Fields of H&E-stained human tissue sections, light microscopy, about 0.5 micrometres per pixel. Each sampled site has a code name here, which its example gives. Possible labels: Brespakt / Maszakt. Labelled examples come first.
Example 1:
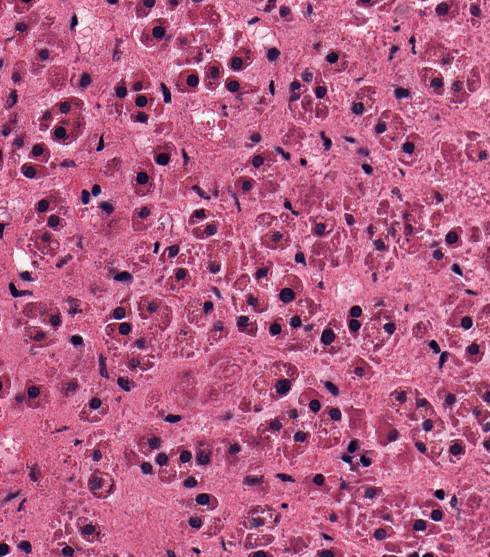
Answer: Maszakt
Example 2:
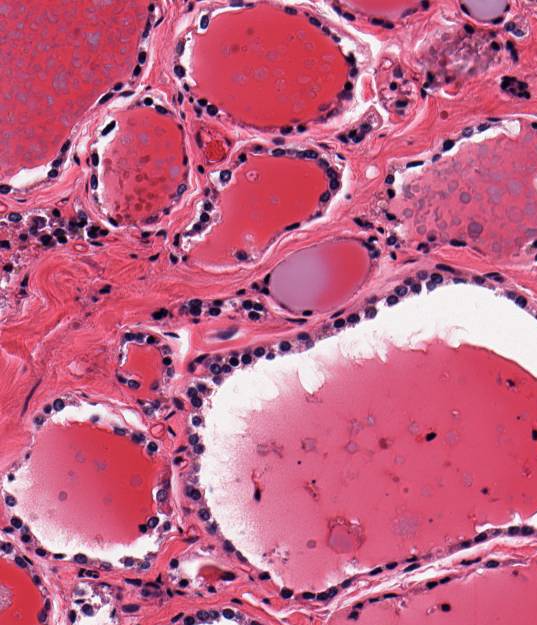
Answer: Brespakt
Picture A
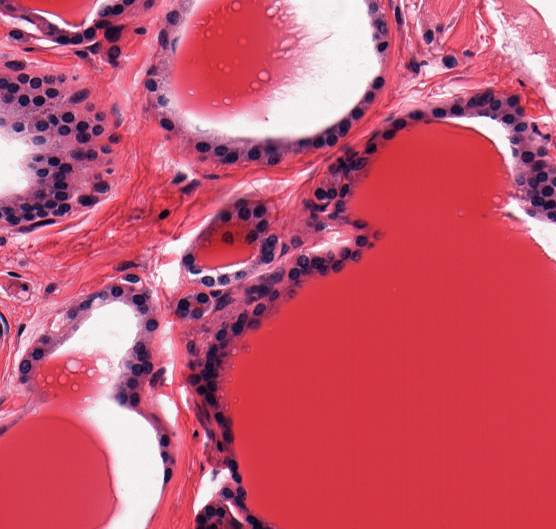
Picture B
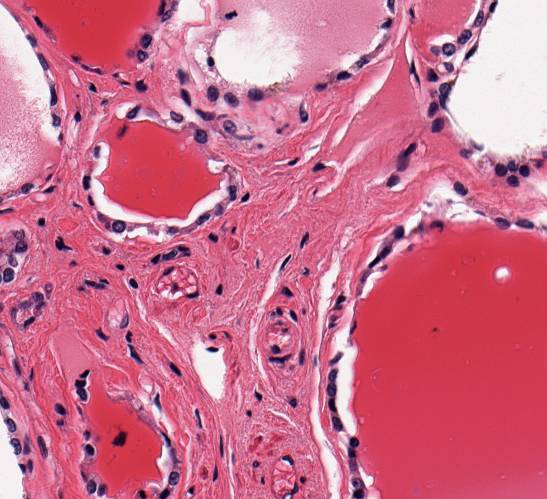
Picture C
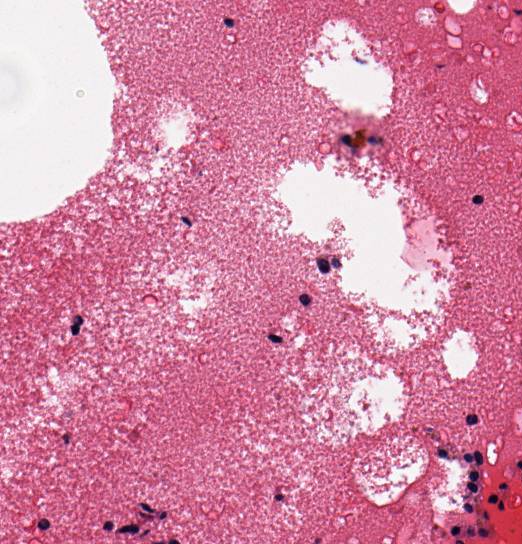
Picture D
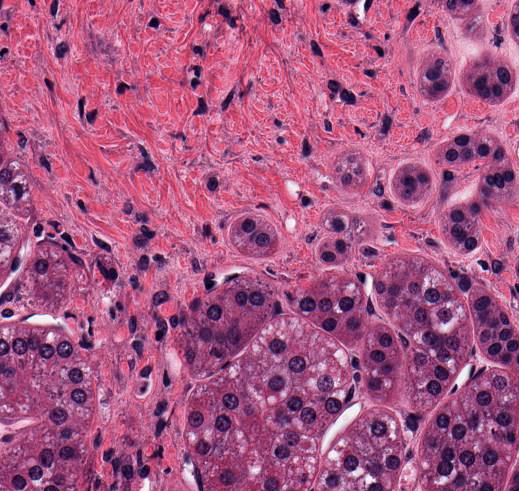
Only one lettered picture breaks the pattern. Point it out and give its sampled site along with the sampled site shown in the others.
D differs and shows Maszakt; the others show Brespakt.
